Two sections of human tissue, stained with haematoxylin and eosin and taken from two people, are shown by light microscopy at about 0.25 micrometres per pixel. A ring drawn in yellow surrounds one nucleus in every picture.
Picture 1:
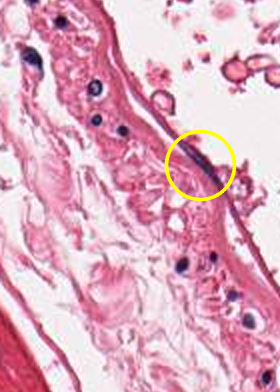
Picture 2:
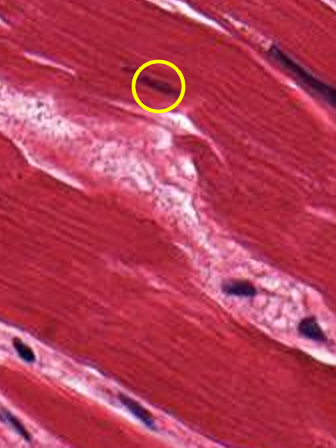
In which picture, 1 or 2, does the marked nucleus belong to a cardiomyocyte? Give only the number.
2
